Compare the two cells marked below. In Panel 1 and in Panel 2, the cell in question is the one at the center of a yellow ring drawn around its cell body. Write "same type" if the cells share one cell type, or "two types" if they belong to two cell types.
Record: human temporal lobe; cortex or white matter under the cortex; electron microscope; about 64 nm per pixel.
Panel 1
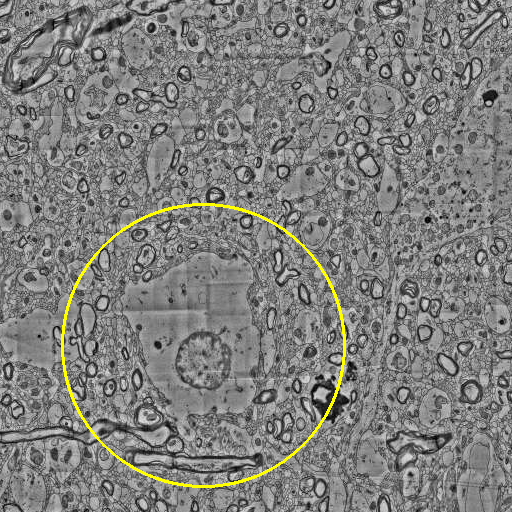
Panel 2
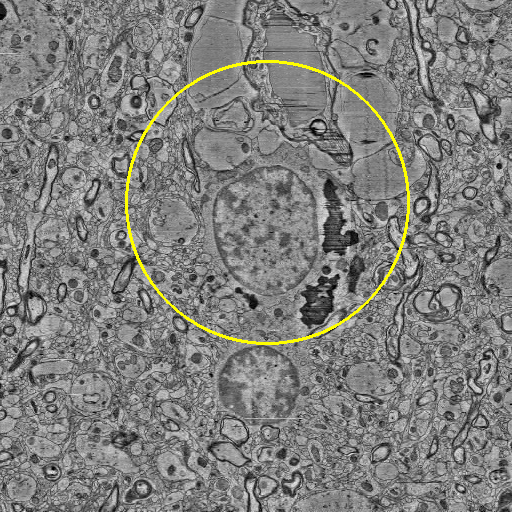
two types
